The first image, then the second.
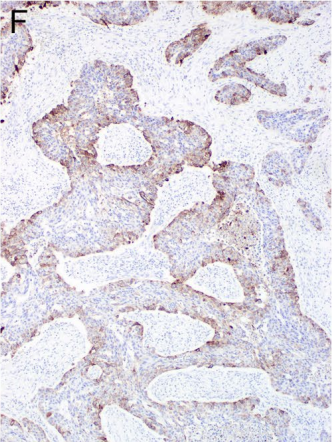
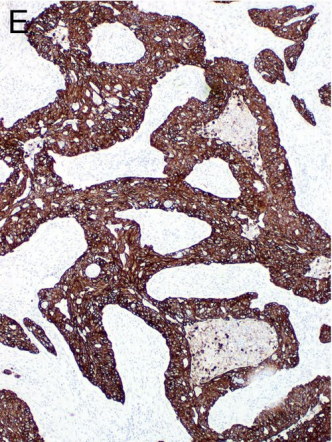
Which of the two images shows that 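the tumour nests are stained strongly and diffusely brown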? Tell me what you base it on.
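The second image. First image: tumour nests show only pale, patchy brown staining. Second image: nearly all tumour epithelium is dark brown throughout.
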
